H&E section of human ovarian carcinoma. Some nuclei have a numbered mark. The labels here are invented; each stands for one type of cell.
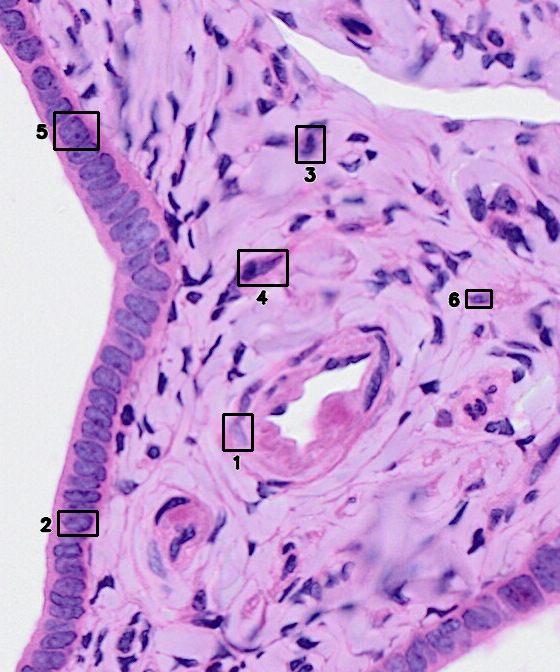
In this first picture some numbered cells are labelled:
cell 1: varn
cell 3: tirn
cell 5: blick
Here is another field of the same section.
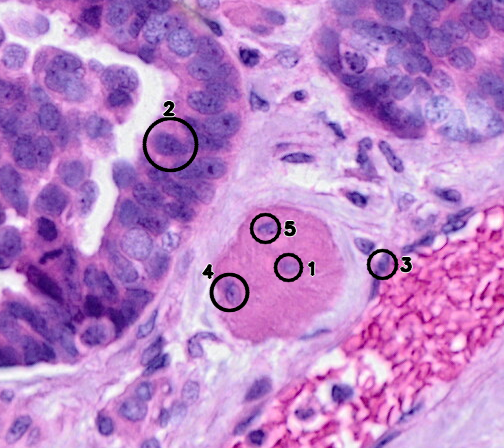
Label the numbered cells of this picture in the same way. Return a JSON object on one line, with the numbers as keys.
{"1": "varn", "2": "blick", "3": "tirn", "4": "varn", "5": "varn"}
